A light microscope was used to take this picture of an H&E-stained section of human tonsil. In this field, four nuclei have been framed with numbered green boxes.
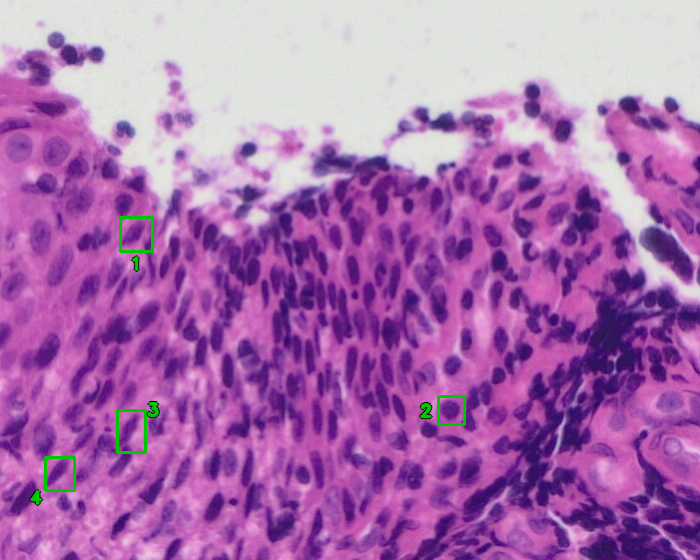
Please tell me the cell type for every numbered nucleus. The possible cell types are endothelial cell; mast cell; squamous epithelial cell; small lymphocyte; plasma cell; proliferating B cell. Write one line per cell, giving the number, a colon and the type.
1: squamous epithelial cell
2: plasma cell
3: squamous epithelial cell
4: squamous epithelial cell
